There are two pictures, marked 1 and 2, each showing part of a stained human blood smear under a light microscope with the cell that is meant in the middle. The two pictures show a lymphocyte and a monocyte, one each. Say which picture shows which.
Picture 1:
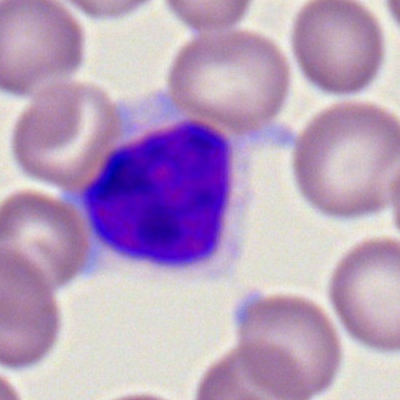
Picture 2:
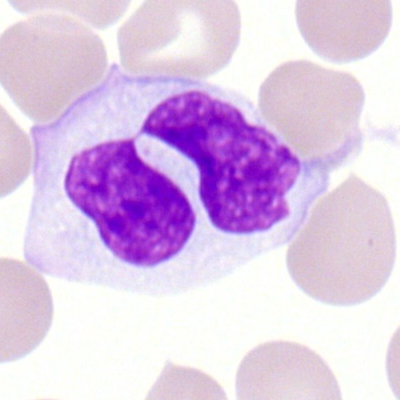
1: lymphocyte
2: monocyte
